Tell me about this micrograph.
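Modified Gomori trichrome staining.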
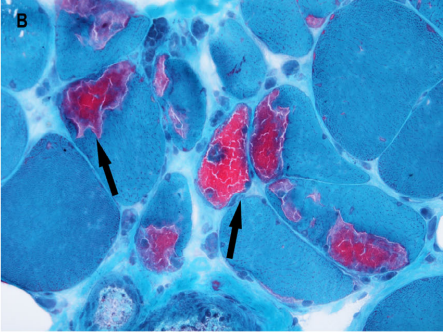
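Muscle fibres in cross-section stain blue-green, with varying sizes. Several fibres contain bright red irregular inclusions that fill a large part of the fibre, some with a cracked or mottled texture. The inclusions lie within fibres of different sizes, beside fibres that are free of them.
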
